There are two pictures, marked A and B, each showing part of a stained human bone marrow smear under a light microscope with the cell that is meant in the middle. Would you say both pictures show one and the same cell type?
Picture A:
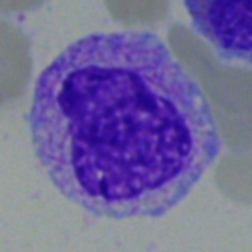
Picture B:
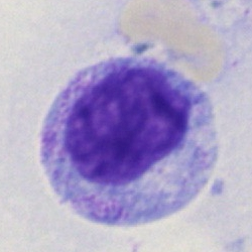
yes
